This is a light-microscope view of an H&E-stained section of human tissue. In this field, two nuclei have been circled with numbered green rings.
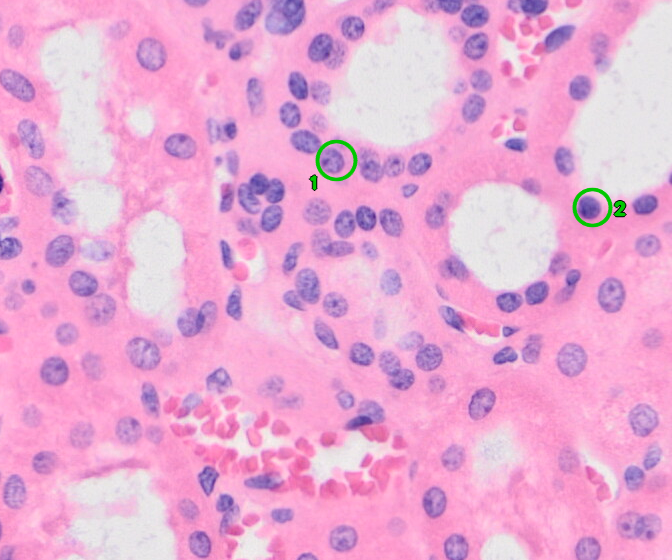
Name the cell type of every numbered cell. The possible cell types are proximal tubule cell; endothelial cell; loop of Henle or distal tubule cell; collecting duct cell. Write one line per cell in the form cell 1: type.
cell 1: collecting duct cell
cell 2: loop of Henle or distal tubule cell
